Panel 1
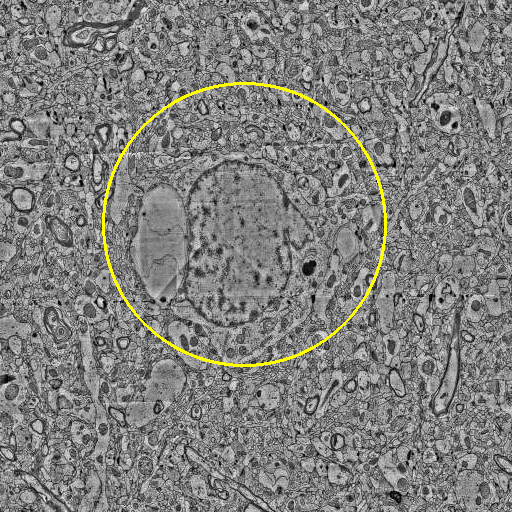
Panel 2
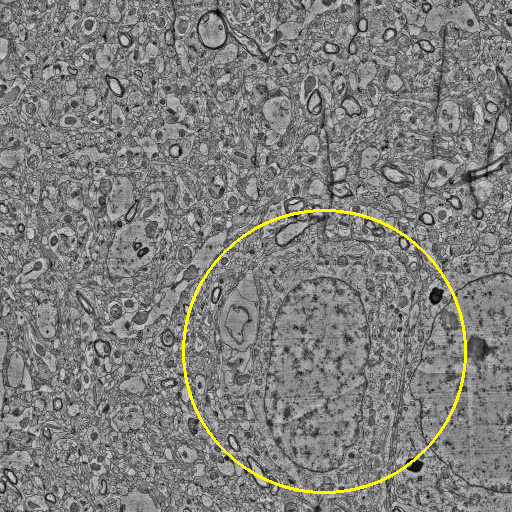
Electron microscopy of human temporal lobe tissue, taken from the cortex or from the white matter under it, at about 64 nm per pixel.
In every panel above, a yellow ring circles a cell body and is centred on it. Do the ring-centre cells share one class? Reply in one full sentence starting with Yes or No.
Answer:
Yes, the two cells at the ring centres in the panels belong to one class.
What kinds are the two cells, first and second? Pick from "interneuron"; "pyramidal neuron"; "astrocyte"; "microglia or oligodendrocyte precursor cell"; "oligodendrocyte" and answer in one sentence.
Each one of the two ringed cells is an interneuron.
